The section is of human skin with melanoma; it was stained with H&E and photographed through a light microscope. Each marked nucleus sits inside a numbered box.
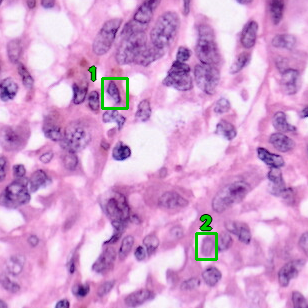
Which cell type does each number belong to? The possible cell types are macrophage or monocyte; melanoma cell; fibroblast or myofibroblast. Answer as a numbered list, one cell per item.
1. macrophage or monocyte
2. melanoma cell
